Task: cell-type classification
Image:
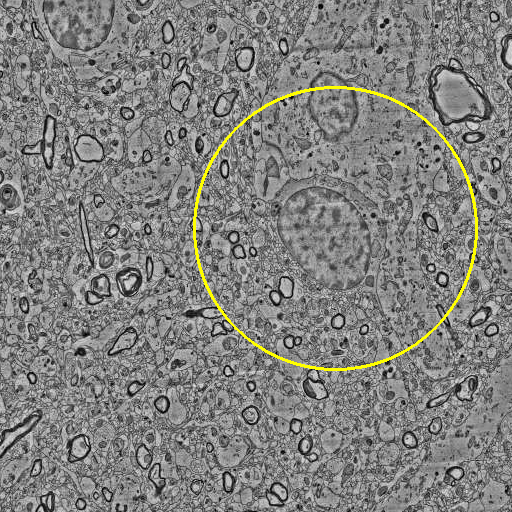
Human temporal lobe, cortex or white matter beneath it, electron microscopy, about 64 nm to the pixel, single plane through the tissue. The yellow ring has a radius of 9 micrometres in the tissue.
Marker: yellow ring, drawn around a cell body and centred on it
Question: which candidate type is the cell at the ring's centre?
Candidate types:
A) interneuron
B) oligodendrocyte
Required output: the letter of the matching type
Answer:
B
